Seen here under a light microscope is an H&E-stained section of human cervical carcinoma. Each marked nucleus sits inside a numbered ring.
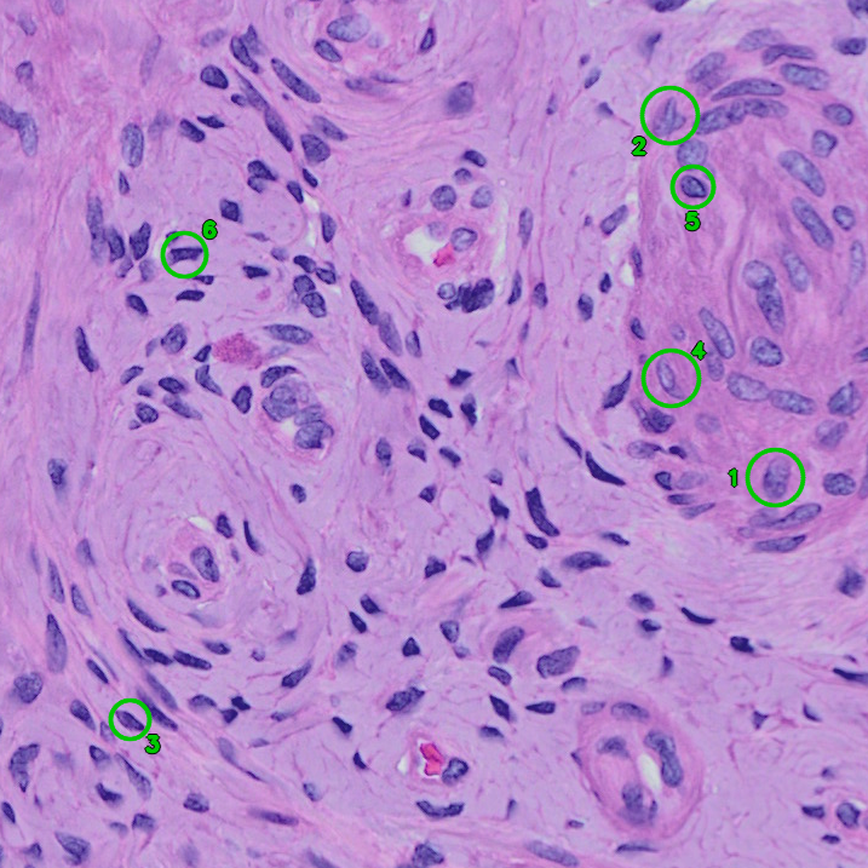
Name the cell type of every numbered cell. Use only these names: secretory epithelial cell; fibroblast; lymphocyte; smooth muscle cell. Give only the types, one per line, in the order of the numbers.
smooth muscle cell
smooth muscle cell
fibroblast
smooth muscle cell
smooth muscle cell
fibroblast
